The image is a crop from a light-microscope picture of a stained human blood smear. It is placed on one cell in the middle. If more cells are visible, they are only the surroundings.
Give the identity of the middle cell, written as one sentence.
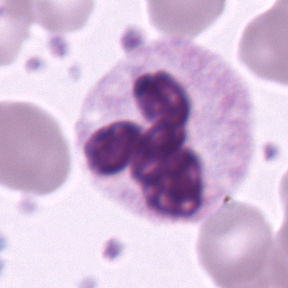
The identification for the central cell is a segmented neutrophil.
